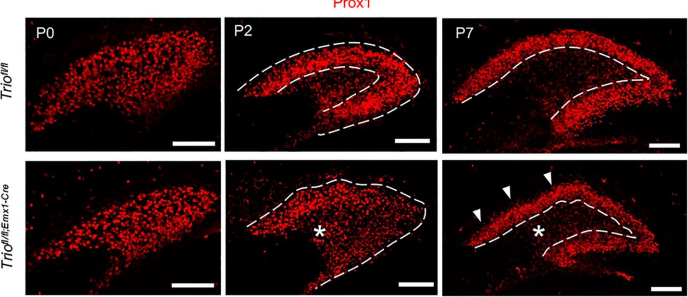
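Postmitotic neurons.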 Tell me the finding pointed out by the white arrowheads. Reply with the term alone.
Loosely packed cells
